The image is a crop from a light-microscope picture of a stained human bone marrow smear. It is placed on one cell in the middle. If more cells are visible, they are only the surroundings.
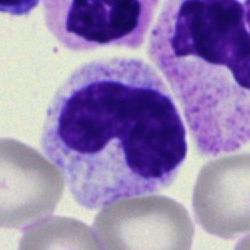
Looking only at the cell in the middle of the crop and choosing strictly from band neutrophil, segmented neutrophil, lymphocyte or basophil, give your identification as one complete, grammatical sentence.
At the center of the crop sits a band neutrophil.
